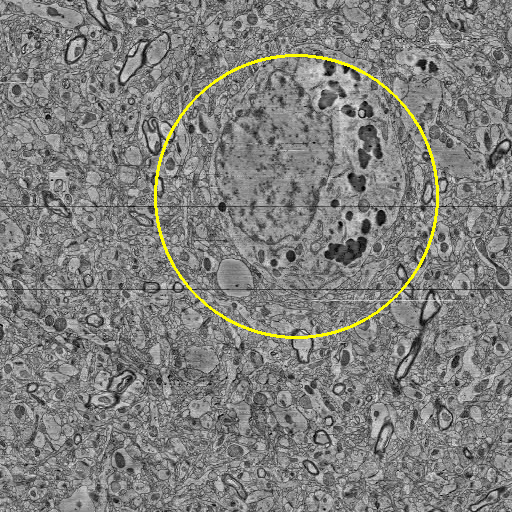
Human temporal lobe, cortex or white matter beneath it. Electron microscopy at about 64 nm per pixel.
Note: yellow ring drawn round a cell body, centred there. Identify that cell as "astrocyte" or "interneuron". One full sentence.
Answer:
The cell in the middle of the ring is an interneuron.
